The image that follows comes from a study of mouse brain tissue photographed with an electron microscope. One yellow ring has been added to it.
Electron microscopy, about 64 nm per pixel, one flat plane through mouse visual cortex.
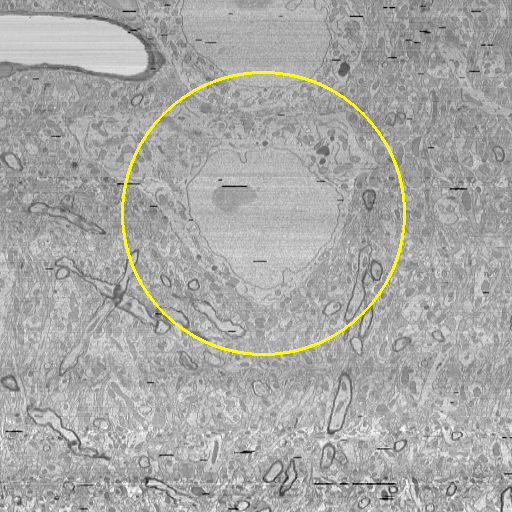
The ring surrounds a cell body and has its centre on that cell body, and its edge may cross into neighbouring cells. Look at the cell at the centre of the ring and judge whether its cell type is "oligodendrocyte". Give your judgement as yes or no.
no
